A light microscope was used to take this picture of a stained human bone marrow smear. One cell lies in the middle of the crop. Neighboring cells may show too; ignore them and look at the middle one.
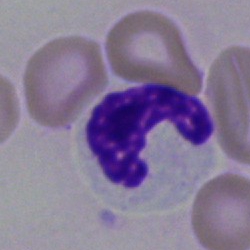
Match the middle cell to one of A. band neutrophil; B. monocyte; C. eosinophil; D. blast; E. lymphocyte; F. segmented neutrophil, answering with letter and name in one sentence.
The middle cell of the crop is a segmented neutrophil; accordingly, option F is correct.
